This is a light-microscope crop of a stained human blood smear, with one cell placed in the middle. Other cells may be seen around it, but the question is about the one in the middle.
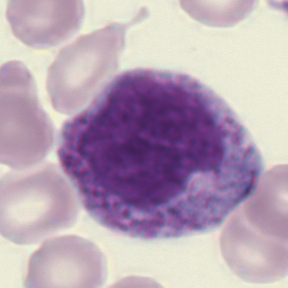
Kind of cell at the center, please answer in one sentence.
On this slide crop, the central cell is a promyelocyte.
